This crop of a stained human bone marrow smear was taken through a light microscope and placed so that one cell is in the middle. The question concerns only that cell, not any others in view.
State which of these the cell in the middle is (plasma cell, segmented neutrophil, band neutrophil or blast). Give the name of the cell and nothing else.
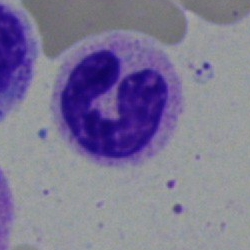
band neutrophil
